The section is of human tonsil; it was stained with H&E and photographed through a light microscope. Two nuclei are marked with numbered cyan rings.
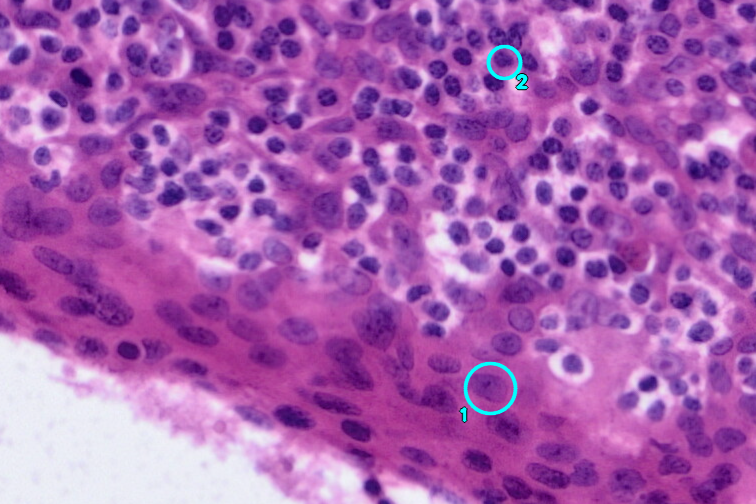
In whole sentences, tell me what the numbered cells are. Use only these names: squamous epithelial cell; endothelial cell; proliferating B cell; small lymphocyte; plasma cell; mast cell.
Cell 1 is a squamous epithelial cell. Cell 2 is a plasma cell.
